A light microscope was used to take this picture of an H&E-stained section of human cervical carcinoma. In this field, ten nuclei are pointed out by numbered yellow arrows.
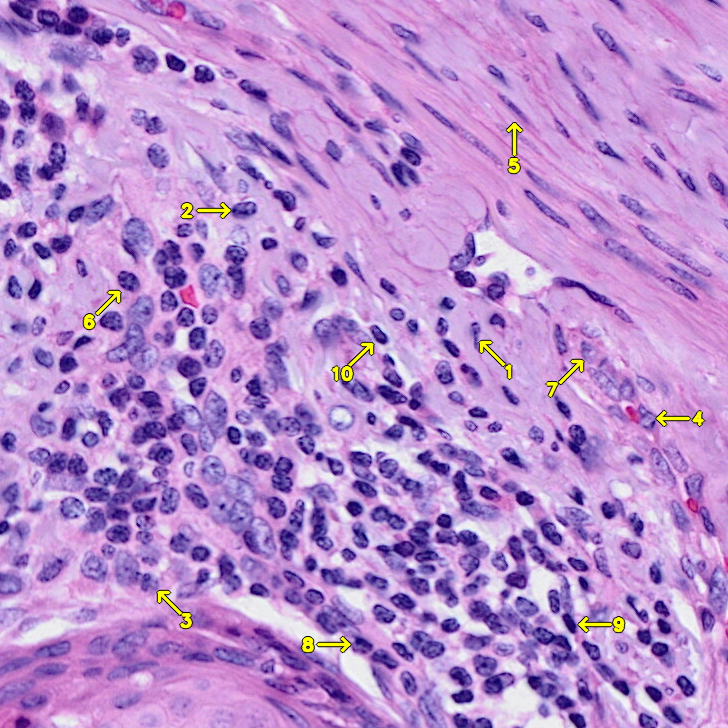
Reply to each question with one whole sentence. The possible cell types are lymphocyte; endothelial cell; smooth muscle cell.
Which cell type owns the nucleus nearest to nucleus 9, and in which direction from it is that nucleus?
A lymphocyte lies closest, below nucleus 9.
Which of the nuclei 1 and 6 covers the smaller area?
Nucleus 1 is the smaller one; nucleus 6 covers about 1.5 times its area.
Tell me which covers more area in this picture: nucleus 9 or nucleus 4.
Of the two, number 4 is bigger and takes up about 1.5 times the area of number 9.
